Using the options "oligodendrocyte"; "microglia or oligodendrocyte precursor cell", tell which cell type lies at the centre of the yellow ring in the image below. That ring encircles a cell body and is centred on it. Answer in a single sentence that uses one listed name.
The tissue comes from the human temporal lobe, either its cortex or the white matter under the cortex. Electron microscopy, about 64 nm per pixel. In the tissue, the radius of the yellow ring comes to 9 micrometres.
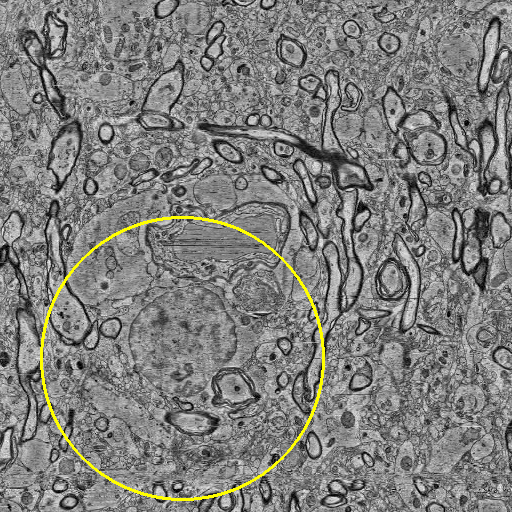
At the centre of the yellow ring lies the body of an oligodendrocyte.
